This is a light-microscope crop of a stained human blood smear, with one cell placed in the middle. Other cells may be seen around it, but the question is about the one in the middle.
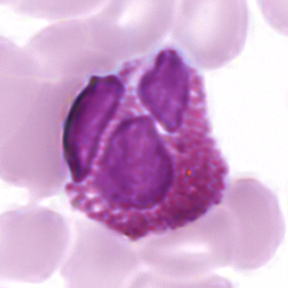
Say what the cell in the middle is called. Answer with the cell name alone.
eosinophil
